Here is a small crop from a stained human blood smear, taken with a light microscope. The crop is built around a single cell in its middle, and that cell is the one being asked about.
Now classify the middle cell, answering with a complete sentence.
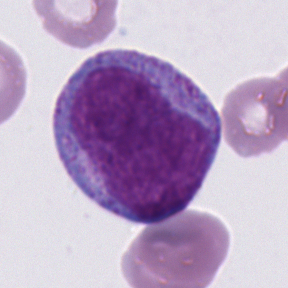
Occupying the centre of the crop is a promyelocyte.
